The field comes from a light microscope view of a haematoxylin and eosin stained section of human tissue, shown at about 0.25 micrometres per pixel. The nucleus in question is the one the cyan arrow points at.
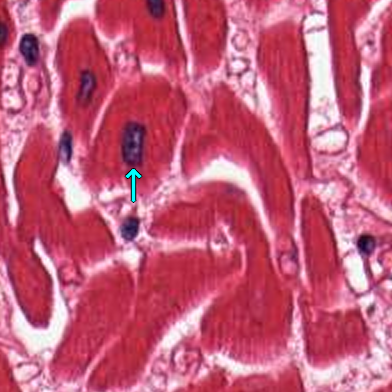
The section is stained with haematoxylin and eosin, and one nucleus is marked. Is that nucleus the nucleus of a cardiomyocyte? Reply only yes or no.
yes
